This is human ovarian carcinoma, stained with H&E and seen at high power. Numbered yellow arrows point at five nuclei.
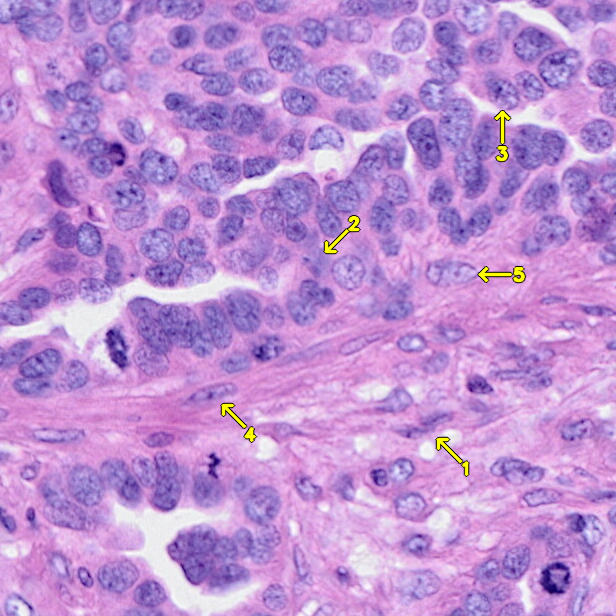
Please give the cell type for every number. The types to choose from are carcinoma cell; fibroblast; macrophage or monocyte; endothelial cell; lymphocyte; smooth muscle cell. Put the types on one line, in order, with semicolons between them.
fibroblast; carcinoma cell; carcinoma cell; fibroblast; fibroblast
